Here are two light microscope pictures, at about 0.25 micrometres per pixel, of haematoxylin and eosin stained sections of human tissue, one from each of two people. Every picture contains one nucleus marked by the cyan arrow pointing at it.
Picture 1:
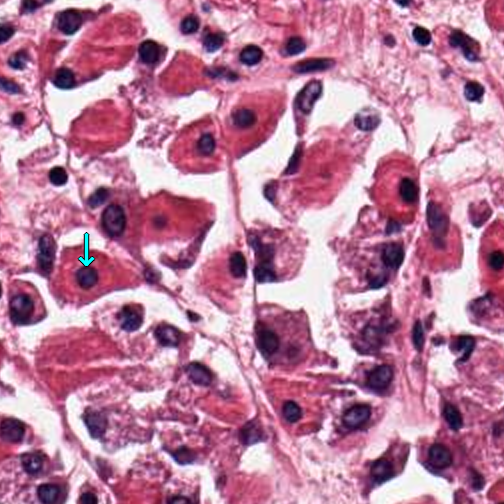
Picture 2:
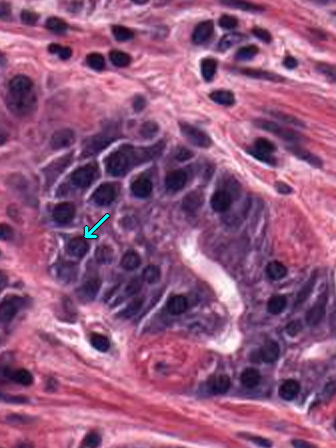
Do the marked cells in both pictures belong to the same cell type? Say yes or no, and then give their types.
No, the first is a parietal cell and the second a chief cell.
